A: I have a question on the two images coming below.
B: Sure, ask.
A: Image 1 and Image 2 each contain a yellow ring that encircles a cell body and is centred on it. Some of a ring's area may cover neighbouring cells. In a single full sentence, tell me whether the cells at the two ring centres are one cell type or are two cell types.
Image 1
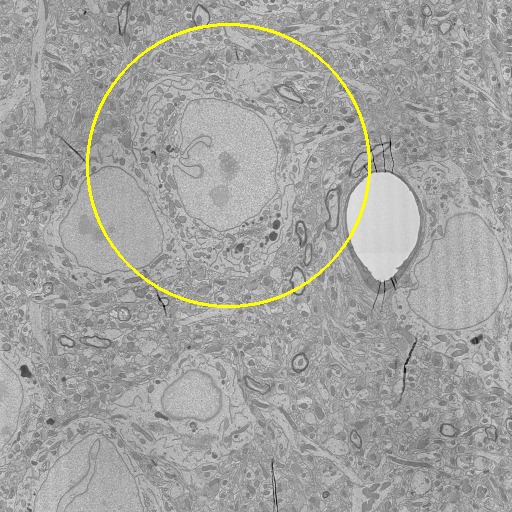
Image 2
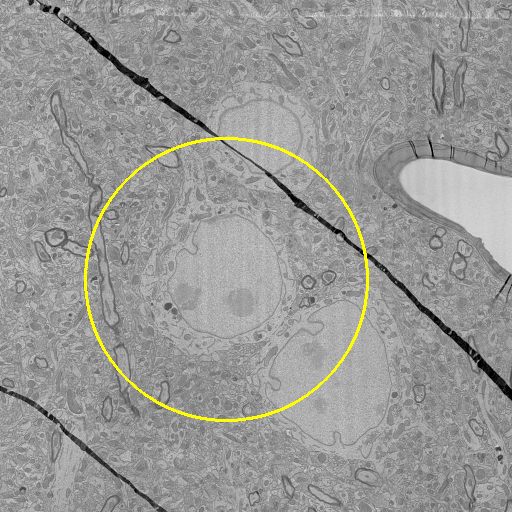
As for the ring-centre cells, the one in Image 1 and the one in Image 2 are two cell types.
